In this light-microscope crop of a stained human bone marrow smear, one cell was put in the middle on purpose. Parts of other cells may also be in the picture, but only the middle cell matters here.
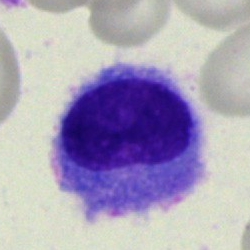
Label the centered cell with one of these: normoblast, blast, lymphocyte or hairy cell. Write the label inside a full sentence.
Positioned in the middle of the crop is a hairy cell.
